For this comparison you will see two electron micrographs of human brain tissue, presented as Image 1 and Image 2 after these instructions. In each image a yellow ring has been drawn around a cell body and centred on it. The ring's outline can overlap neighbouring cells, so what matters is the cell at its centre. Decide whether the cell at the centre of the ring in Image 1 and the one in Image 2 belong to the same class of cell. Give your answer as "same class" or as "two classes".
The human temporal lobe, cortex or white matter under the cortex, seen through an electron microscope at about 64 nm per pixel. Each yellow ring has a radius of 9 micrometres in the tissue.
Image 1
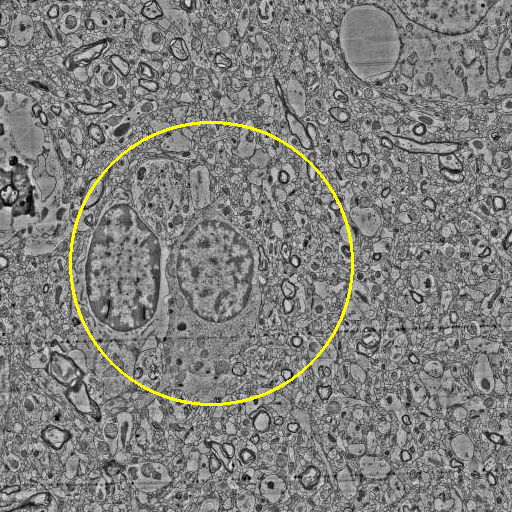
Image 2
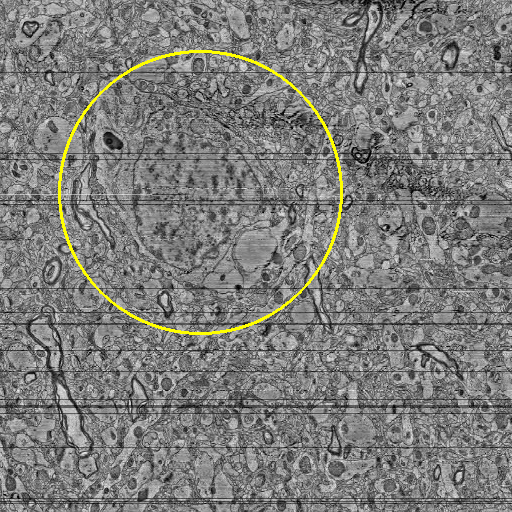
two classes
